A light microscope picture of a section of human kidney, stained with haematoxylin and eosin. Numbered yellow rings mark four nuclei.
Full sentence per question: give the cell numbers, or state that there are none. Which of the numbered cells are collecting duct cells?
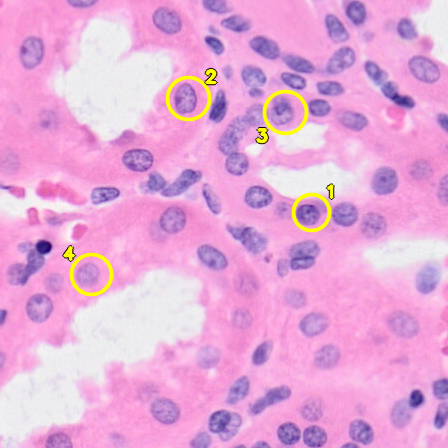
In this section, the cells numbered 1 and 3 are collecting duct cells.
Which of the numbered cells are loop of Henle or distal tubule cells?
None of the cells indicated by numbers are loop of Henle or distal tubule cells.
